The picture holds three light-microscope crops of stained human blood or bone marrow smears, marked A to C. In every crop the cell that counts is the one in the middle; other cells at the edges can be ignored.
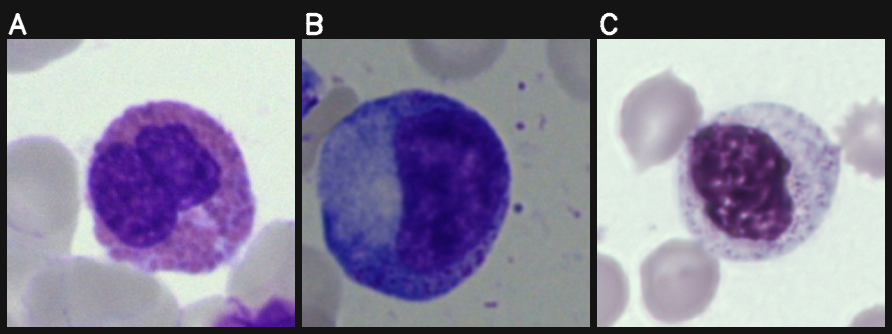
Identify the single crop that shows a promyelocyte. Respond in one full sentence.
The one that shows a promyelocyte is crop B.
